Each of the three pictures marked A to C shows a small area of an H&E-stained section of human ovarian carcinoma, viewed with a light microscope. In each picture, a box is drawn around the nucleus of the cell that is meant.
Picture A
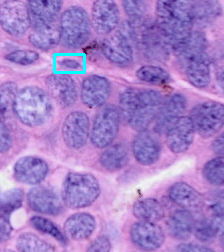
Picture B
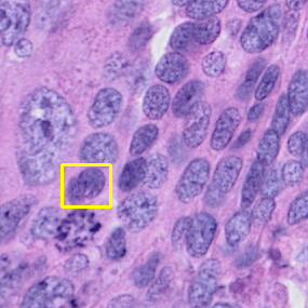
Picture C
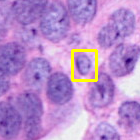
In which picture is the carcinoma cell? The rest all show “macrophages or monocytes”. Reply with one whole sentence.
The cell in picture B is the carcinoma cell.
